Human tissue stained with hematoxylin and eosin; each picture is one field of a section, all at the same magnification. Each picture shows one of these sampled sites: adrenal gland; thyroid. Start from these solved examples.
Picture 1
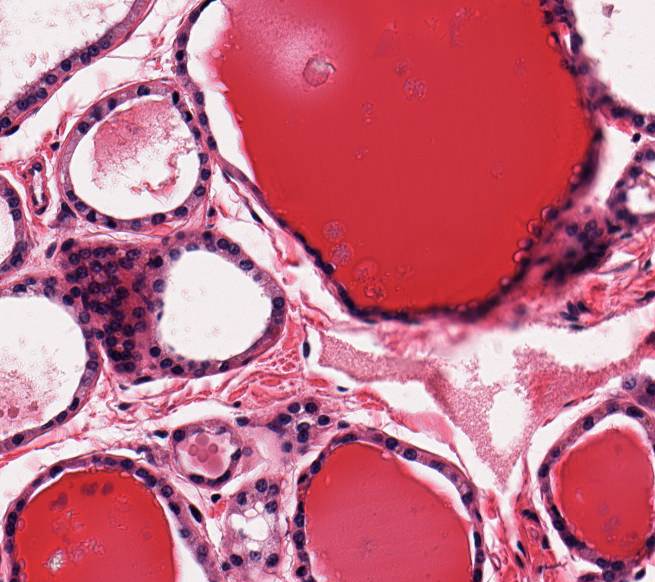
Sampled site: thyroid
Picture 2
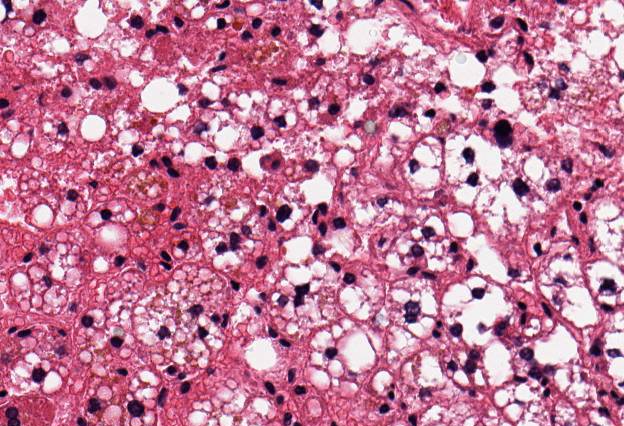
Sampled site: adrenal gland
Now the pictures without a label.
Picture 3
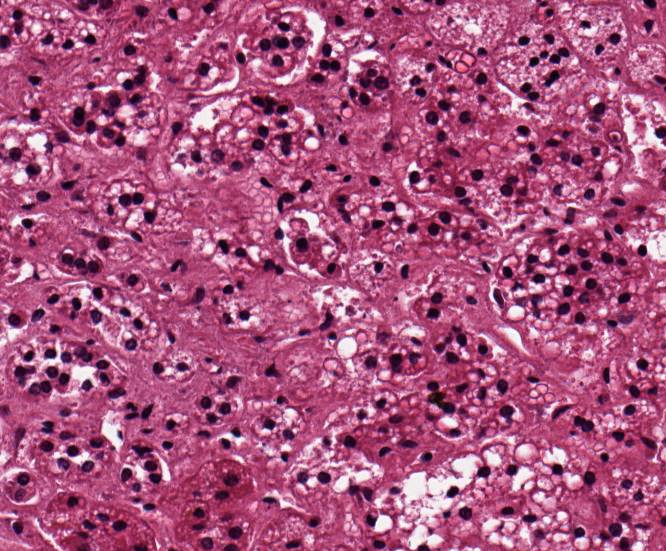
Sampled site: adrenal gland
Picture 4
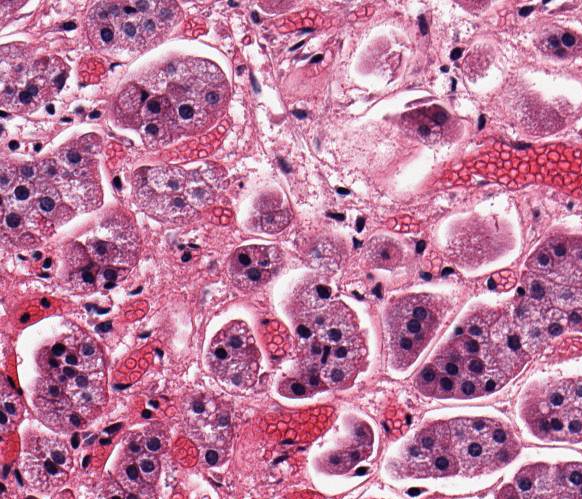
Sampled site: adrenal gland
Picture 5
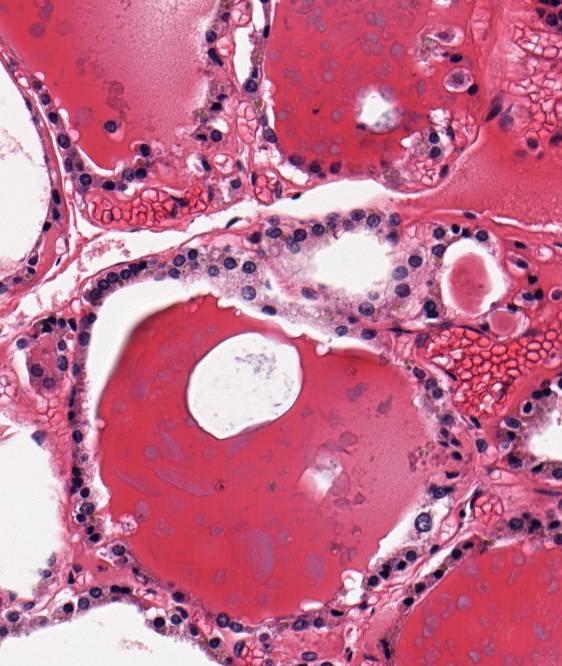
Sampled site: thyroid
